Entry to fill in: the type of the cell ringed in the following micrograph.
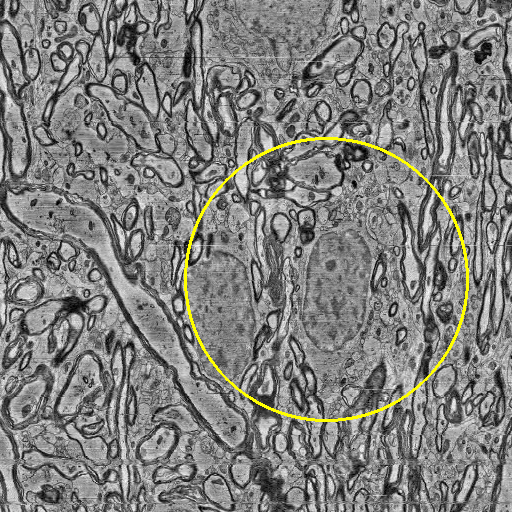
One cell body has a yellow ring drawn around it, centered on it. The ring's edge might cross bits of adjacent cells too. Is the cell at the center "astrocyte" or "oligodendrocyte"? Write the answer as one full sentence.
This entry names an oligodendrocyte as the cell whose body lies at the ring's center.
